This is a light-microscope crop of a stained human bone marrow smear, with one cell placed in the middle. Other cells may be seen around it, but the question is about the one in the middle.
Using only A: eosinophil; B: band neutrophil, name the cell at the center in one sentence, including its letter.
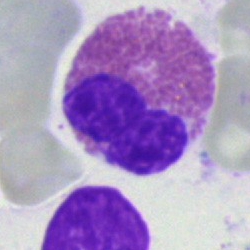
The cell in the centre of the crop is an eosinophil, so option A is the correct one.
